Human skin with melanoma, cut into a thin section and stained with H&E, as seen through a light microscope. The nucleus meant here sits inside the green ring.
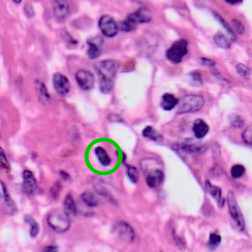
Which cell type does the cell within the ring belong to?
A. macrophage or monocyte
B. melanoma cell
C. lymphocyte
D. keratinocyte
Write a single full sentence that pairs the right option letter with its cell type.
Option C, identifying the cell within the ring as a lymphocyte, is correct.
